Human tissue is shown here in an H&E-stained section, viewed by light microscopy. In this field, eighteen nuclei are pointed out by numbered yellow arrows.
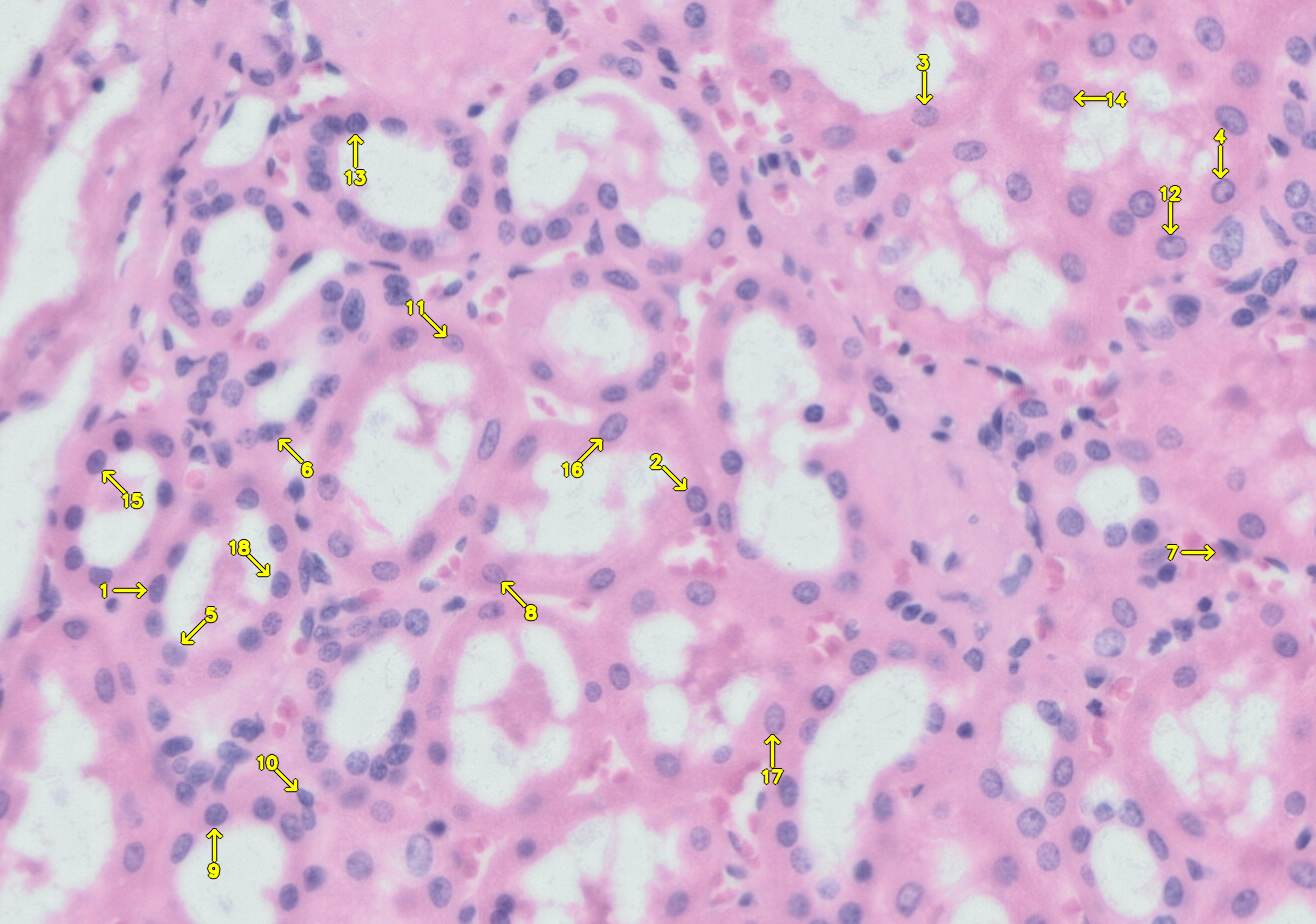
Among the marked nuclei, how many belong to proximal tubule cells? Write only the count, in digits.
9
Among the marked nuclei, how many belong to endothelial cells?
2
